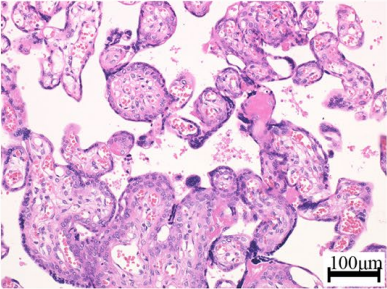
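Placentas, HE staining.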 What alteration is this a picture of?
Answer: Delayed villous maturation.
